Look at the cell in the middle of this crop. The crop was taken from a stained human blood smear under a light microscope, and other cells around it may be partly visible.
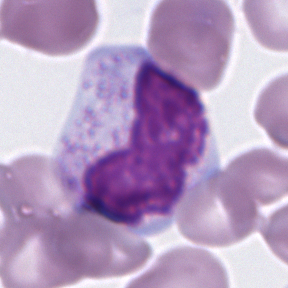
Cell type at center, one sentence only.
At the middle of the frame sits a myelocyte.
